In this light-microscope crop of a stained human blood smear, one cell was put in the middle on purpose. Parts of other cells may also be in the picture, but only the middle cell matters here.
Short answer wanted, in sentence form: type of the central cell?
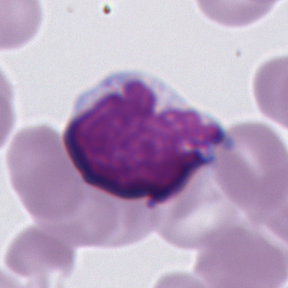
Here the centrally located cell is a large granular lymphocyte.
